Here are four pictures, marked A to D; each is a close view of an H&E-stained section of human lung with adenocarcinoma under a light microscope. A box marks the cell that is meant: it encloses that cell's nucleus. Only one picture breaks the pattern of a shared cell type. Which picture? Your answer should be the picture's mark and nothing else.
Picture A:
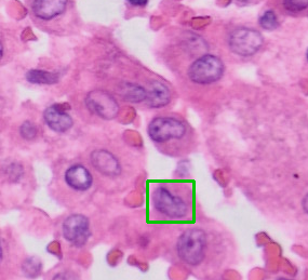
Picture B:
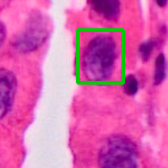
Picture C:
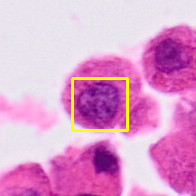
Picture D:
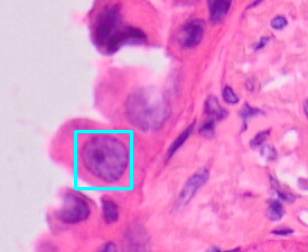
A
